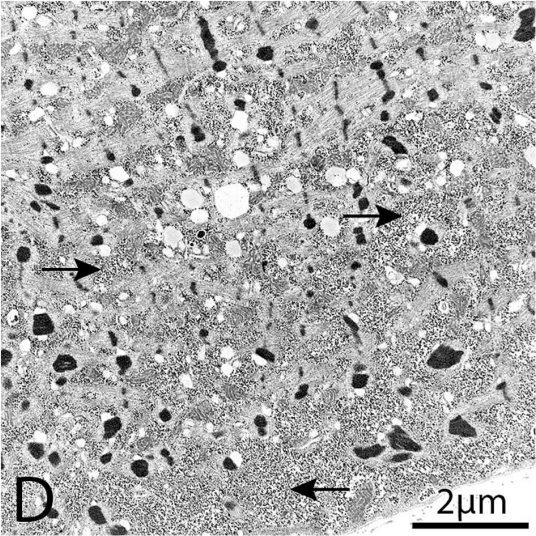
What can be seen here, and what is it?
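This electron micrograph shows the interior of a skeletal muscle fiber with disorganised myofibrils and many scattered, irregular, electron-dense bodies, the nemaline rods. Between the myofibrils lie broad areas of fine dark granules, an accumulation of glycogen, together with small round clear vesicles.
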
